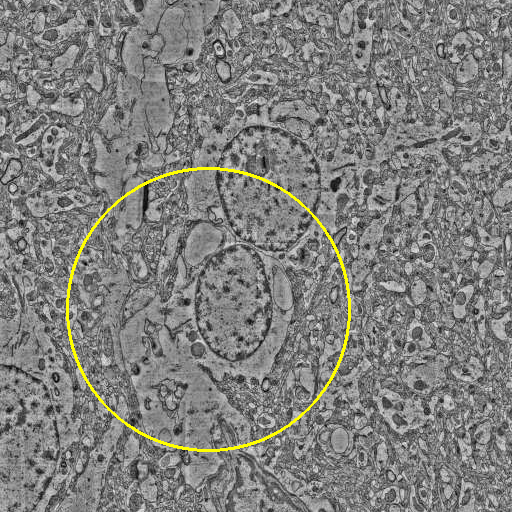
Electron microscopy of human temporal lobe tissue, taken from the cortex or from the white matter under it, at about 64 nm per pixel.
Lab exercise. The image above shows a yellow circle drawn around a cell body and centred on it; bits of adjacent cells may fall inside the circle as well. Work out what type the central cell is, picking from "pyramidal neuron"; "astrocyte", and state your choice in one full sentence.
In the image above, the cell at the centre of the yellow circle is an astrocyte.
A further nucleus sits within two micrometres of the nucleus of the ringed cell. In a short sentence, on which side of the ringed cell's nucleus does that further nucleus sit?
That other nucleus is above it.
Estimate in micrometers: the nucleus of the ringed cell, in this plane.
Clearly longer than it is wide in this plane, the nucleus measures roughly 7 by 5 micrometres.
